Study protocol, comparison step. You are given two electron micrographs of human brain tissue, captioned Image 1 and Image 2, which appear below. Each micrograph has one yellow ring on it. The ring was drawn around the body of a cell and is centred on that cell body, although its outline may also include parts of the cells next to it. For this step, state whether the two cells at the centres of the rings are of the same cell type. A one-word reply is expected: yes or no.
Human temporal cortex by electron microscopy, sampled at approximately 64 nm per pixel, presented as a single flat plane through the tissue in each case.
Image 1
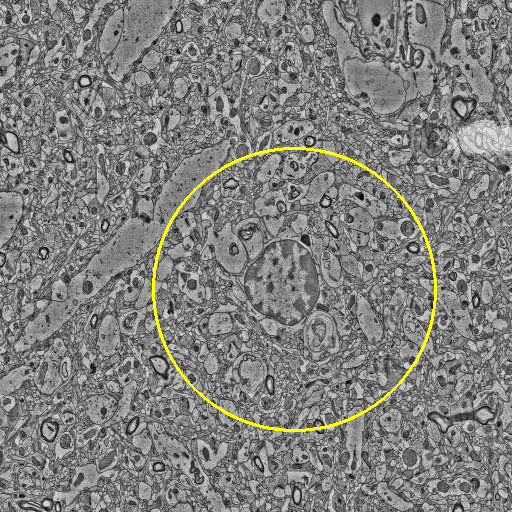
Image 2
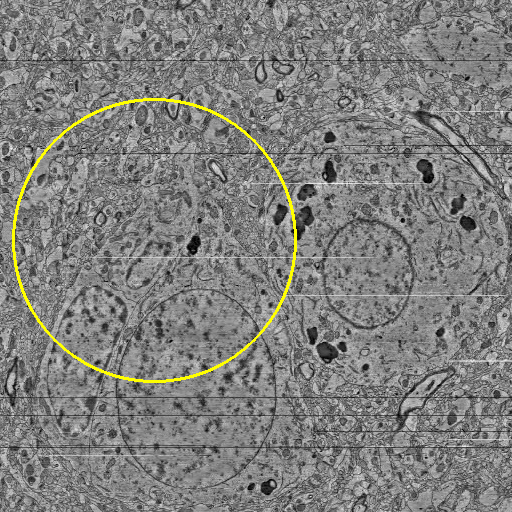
yes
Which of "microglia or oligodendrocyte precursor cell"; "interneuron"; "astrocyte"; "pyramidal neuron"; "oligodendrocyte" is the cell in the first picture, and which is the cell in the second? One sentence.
Both pictures show a microglial cell or oligodendrocyte precursor cell at the centre of the ring.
